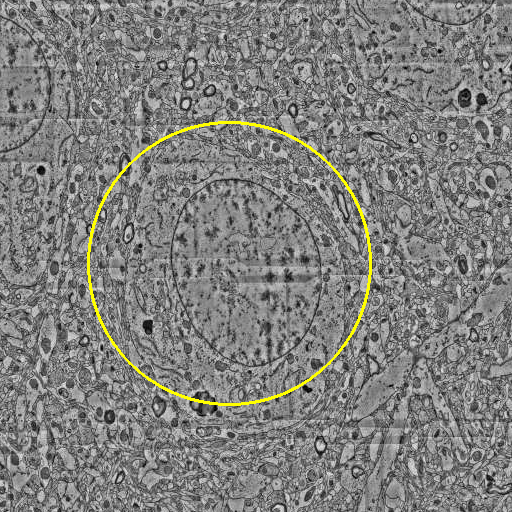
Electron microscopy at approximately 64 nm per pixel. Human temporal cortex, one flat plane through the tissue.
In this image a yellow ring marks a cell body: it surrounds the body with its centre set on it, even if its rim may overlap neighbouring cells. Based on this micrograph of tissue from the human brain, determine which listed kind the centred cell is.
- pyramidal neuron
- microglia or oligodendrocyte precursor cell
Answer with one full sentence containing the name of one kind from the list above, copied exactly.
It is a pyramidal neuron whose body the yellow ring encloses at its centre.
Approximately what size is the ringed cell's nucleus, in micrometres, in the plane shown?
Roughly 12 by 10 micrometres is the size of the nucleus in this plane.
